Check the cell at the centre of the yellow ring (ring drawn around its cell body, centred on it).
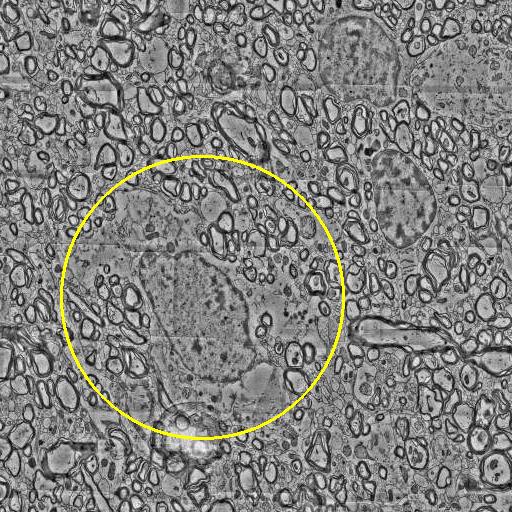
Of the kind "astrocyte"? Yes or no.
yes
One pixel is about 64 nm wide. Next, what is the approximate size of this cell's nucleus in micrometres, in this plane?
In this plane, approximately 10 by 6 micrometers.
